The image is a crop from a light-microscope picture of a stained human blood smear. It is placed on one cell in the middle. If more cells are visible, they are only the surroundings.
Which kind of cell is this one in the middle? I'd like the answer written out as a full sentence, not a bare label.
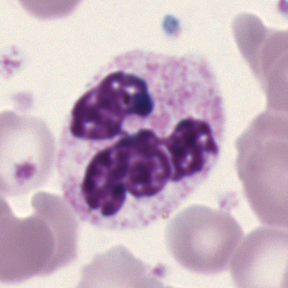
At the middle of the frame sits a segmented neutrophil.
